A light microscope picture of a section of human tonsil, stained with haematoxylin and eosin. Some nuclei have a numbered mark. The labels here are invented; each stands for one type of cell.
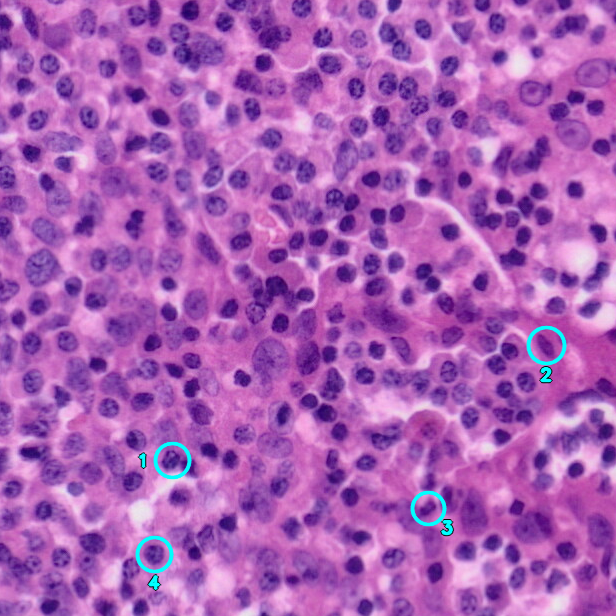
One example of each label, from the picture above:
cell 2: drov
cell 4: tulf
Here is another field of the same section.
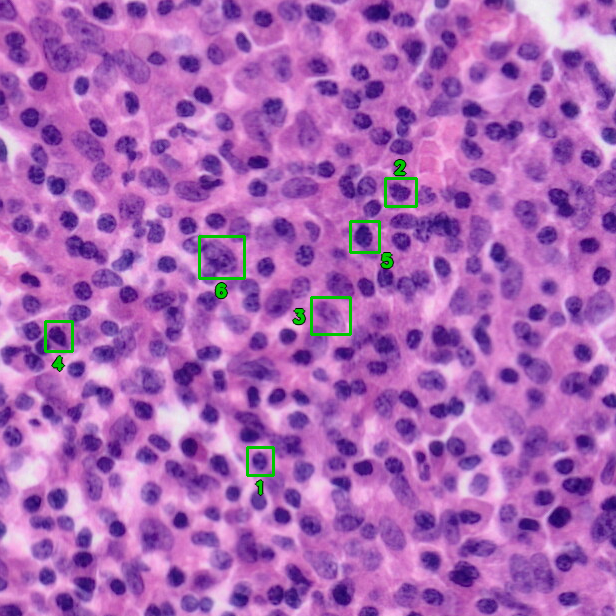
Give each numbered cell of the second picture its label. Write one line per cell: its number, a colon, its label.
1: tulf
2: tulf
3: drov
4: tulf
5: tulf
6: drov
